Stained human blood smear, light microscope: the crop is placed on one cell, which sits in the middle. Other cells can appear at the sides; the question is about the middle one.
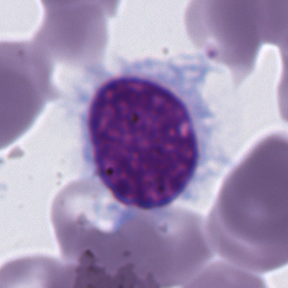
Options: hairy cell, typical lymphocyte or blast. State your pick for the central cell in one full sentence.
The cell centred in this crop is categorized as a hairy cell.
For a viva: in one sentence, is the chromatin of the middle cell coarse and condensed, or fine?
Check the chromatin: it is fine and not coarsely clumped.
